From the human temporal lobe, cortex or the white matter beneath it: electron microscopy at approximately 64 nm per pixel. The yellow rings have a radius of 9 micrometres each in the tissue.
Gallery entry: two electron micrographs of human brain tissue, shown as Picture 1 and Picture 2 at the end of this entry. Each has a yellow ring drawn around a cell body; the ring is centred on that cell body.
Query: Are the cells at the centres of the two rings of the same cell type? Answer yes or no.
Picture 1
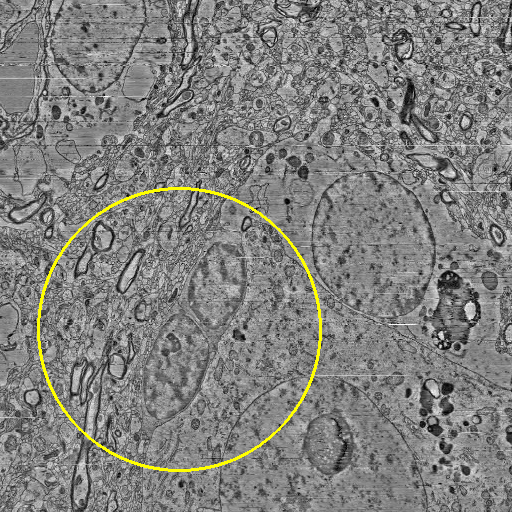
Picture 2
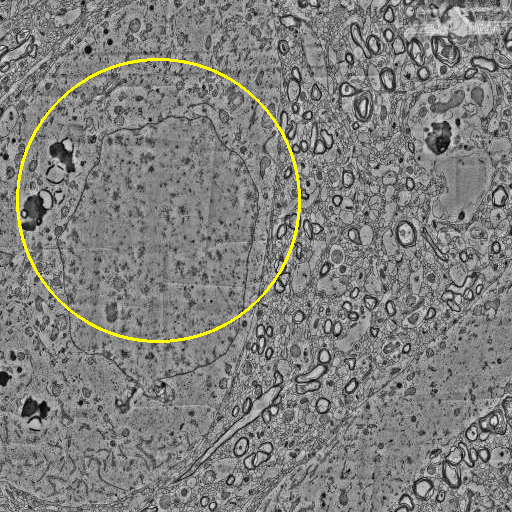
no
